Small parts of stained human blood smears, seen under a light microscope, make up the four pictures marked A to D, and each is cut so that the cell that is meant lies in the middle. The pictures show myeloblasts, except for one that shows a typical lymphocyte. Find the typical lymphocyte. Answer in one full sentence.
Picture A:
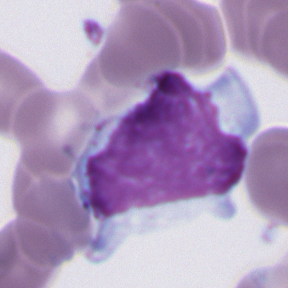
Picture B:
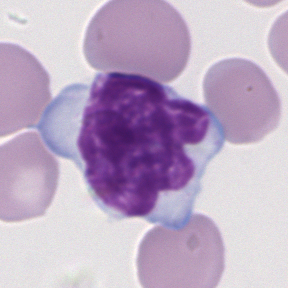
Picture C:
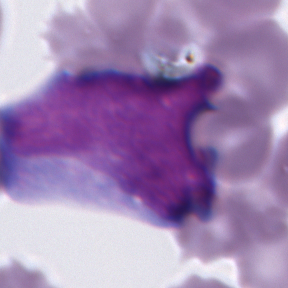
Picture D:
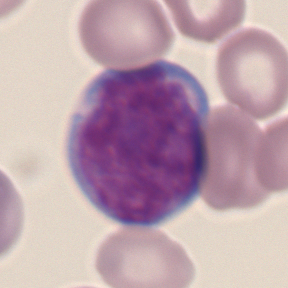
Picture A is the one that shows the typical lymphocyte.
